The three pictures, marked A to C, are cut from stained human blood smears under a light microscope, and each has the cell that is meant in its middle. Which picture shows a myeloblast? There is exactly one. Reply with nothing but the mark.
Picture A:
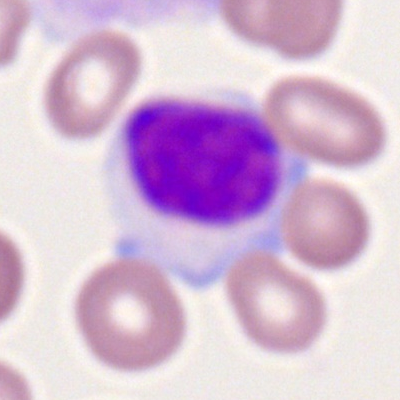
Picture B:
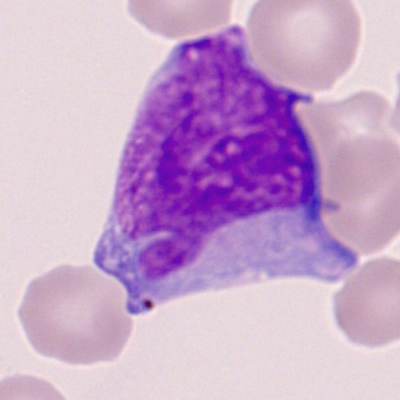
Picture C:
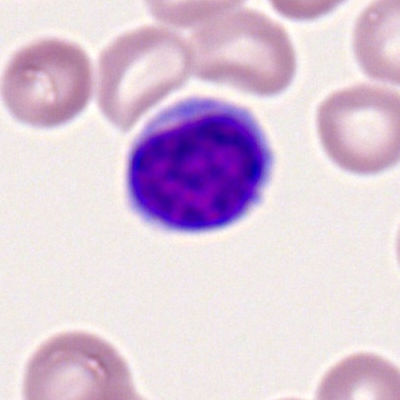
B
